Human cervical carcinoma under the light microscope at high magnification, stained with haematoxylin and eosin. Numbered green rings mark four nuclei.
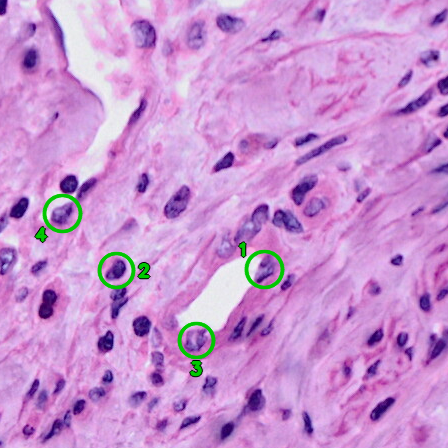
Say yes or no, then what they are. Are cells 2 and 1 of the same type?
No, cell 2 is a lymphocyte and cell 1 is an endothelial cell.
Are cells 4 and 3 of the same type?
Yes, both are endothelial cells.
